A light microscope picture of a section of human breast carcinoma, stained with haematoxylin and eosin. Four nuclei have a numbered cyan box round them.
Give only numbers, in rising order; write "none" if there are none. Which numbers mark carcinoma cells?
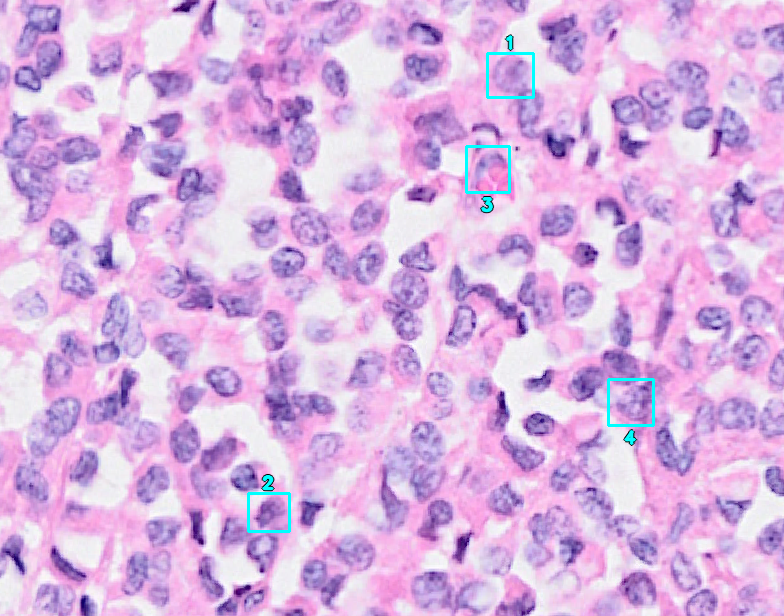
1, 2, 4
